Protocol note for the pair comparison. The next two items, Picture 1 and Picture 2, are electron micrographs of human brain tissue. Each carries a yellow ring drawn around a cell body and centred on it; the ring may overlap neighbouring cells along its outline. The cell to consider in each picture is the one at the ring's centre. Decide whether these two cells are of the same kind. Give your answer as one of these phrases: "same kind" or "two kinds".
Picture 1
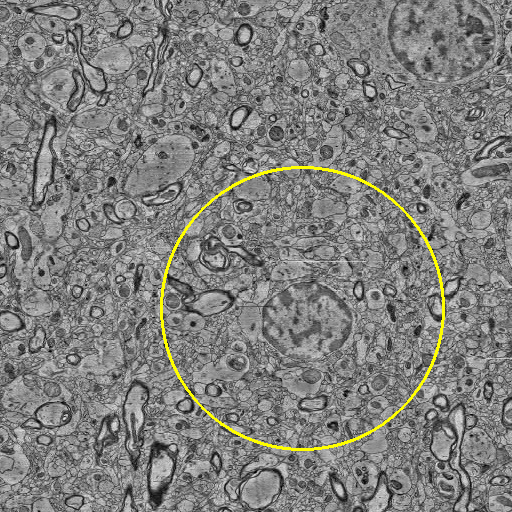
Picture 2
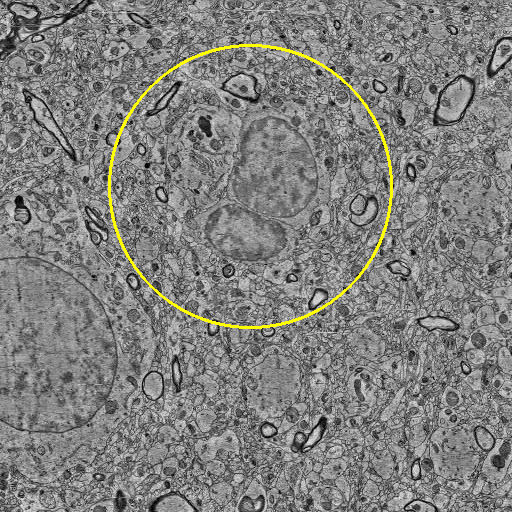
two kinds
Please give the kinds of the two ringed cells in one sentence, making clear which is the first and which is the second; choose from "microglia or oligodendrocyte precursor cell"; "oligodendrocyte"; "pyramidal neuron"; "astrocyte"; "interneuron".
In the second picture the ringed cell is an oligodendrocyte; in the first it is a microglial cell or oligodendrocyte precursor cell.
